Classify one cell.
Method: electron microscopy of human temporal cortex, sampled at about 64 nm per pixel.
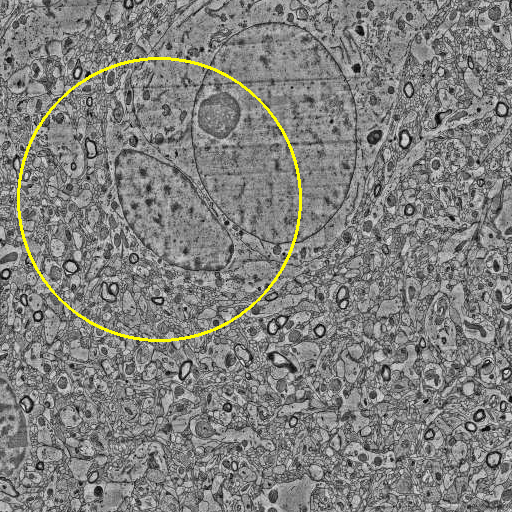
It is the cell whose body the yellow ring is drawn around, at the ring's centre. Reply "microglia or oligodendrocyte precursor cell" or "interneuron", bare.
microglia or oligodendrocyte precursor cell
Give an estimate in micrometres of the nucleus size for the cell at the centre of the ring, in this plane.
The ringed cell's nucleus is roughly 10 by 5 micrometres and clearly longer than it is wide in this plane.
